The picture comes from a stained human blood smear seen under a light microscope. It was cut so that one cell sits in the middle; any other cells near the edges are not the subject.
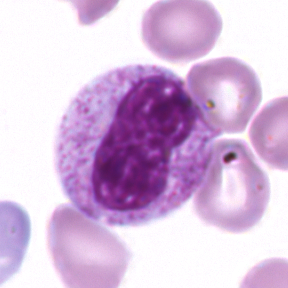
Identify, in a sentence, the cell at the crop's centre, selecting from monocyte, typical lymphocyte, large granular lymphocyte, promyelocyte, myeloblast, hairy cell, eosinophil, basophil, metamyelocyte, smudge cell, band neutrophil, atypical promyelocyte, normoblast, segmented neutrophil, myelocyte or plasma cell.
By classification, the middle cell of this crop is a metamyelocyte.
